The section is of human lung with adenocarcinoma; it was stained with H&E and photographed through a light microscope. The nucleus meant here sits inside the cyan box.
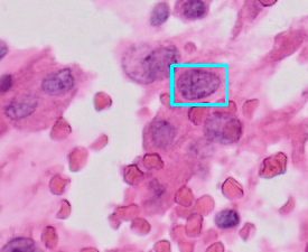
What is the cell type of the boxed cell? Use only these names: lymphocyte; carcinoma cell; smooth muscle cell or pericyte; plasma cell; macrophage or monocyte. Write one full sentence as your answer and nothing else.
In this preparation, the boxed cell is a macrophage or monocyte.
